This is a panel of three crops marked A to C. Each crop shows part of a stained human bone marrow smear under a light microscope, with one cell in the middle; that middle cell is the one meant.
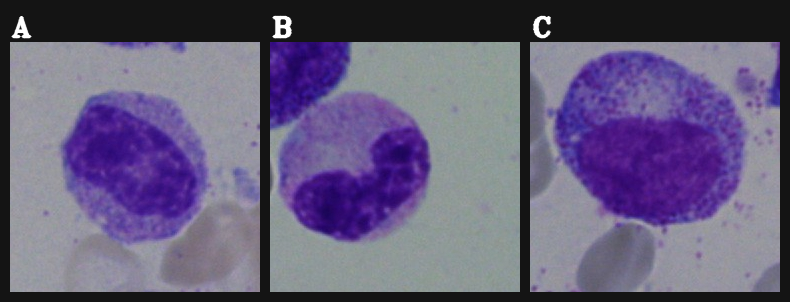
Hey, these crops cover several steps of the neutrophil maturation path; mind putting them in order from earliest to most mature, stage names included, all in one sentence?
Arranged by increasing maturity, the sequence is crop C (a myelocyte), crop A (a metamyelocyte) and crop B (a band neutrophil).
